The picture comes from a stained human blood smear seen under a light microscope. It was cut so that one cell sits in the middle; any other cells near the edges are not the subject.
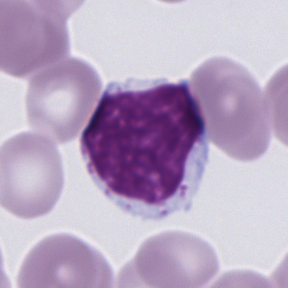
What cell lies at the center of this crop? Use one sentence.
Among the cells in view, the one in the middle is a large granular lymphocyte.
